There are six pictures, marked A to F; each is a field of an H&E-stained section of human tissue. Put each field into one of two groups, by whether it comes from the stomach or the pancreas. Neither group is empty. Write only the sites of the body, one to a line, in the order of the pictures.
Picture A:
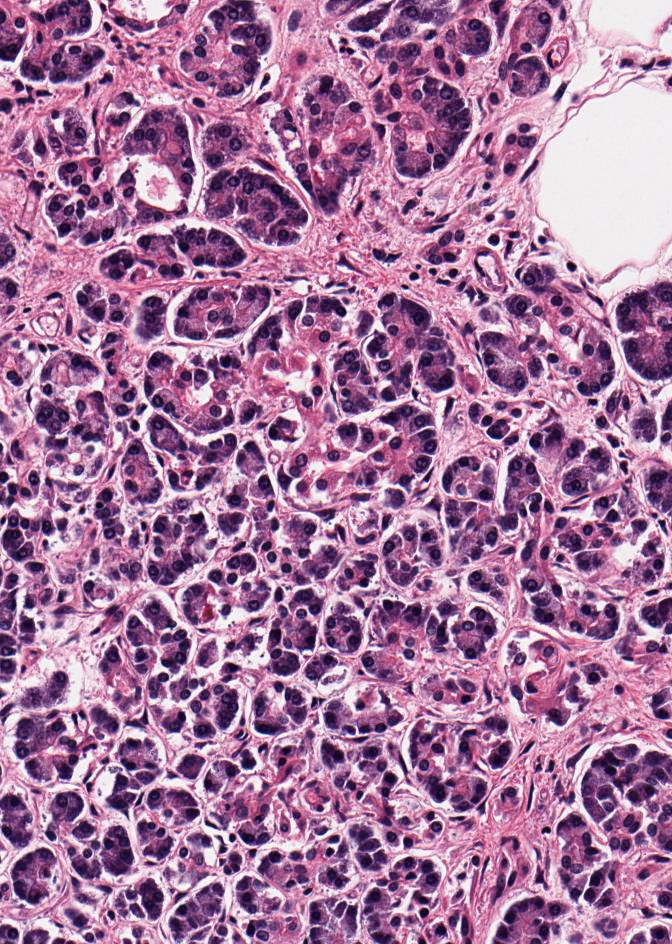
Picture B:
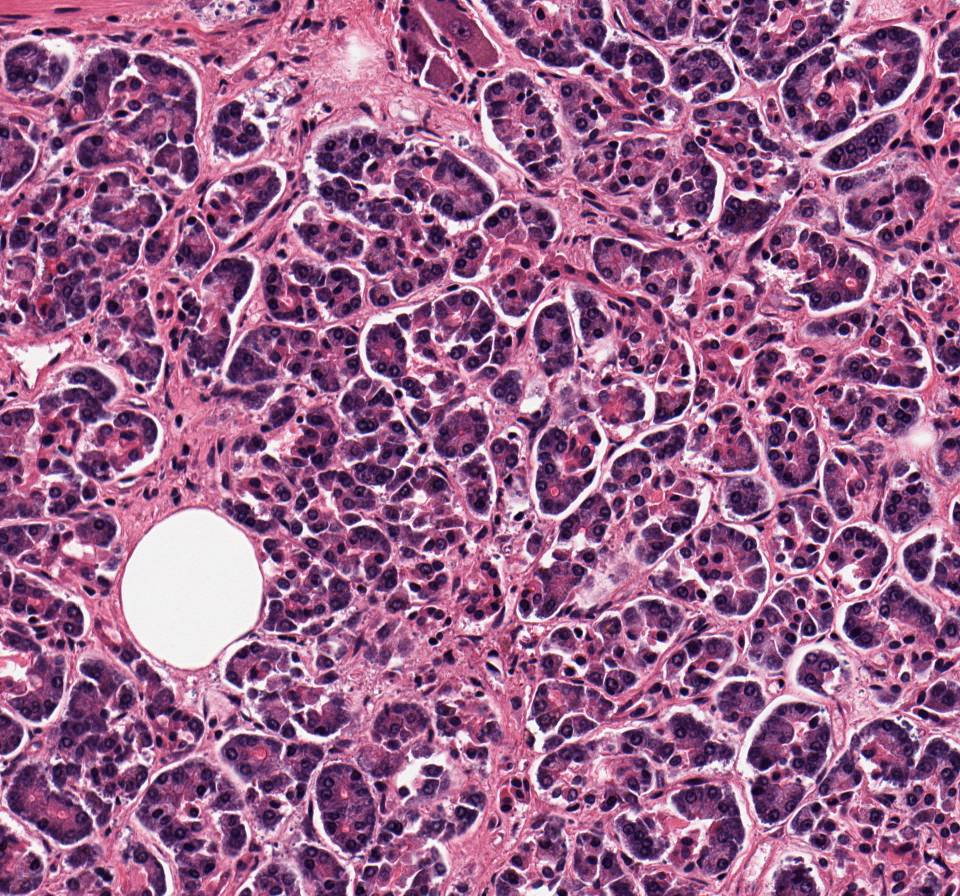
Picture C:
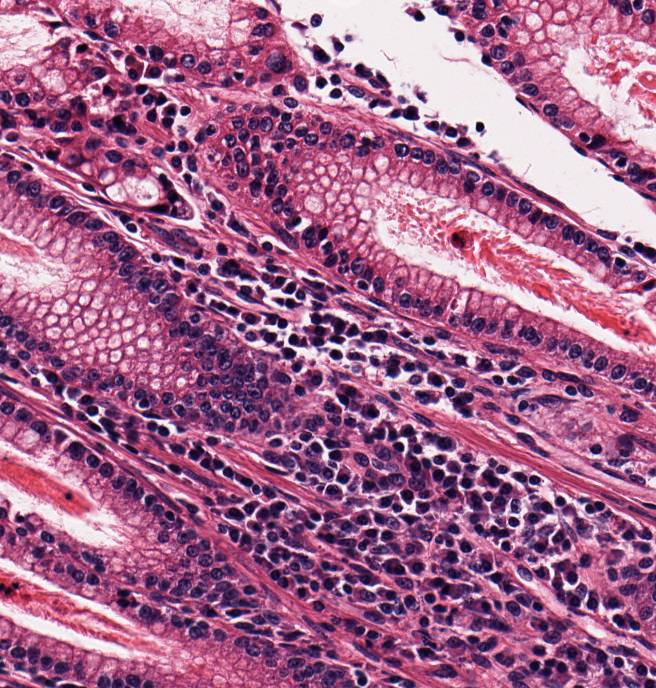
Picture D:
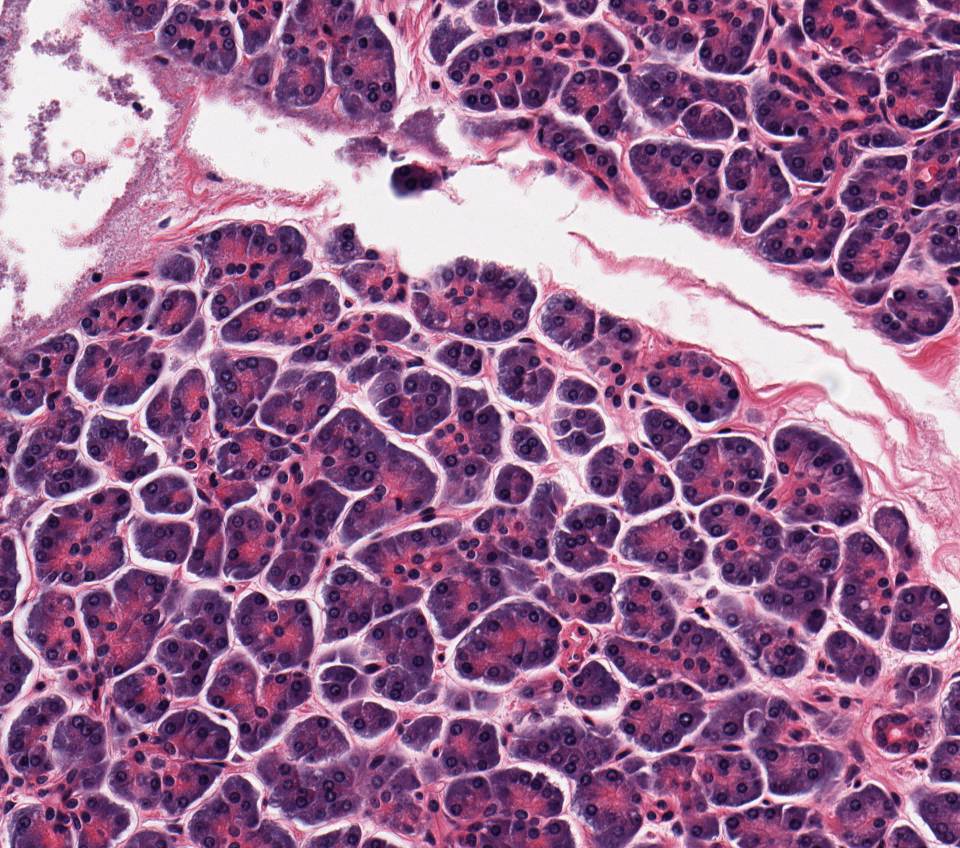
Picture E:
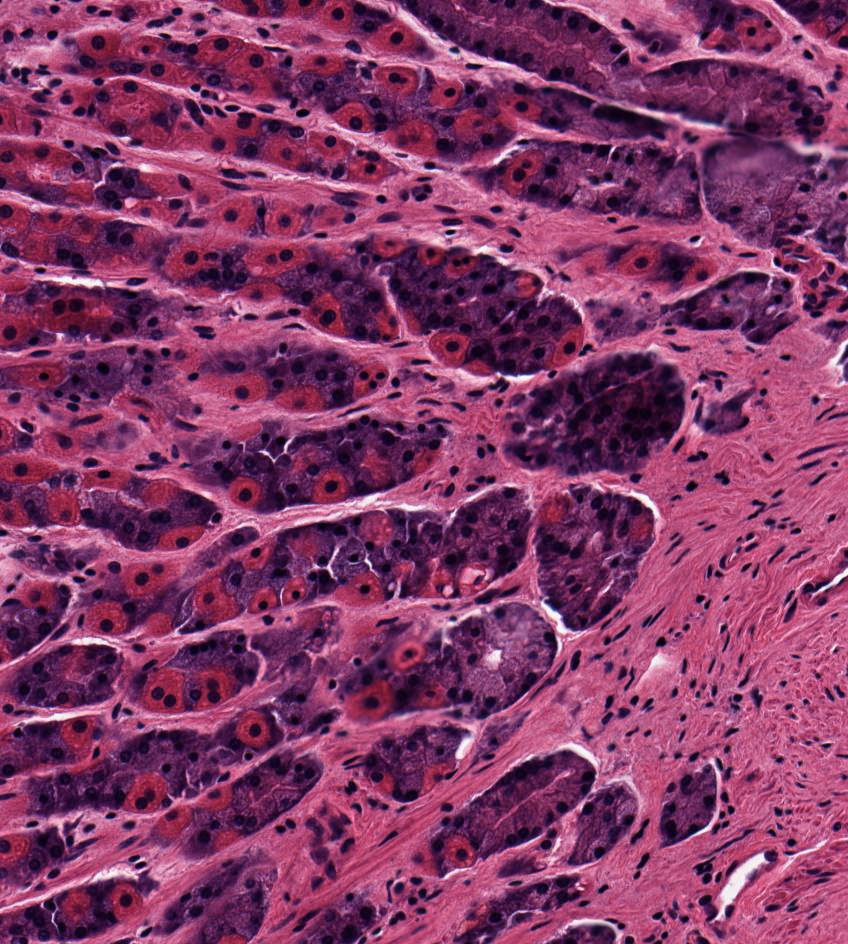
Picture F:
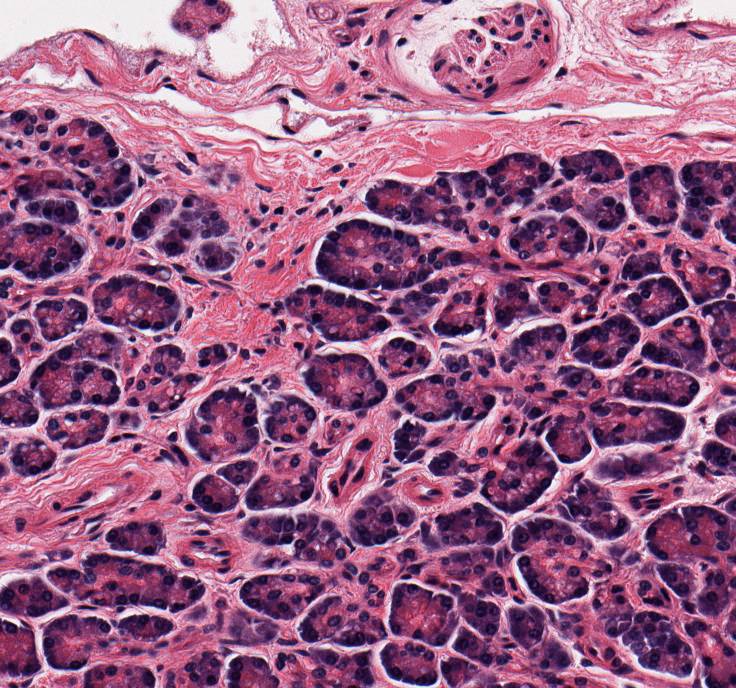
pancreas
pancreas
stomach
pancreas
stomach
pancreas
